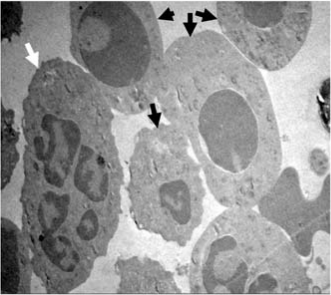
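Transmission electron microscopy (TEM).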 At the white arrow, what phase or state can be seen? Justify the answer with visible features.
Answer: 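Viable or early apoptotic. The cell at the white arrow has a nucleus divided into several separate lobes. Its cytoplasm is granular and not collapsed.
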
